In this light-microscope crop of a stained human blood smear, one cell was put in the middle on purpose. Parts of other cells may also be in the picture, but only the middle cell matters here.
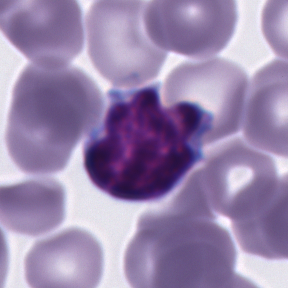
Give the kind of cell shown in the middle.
typical lymphocyte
